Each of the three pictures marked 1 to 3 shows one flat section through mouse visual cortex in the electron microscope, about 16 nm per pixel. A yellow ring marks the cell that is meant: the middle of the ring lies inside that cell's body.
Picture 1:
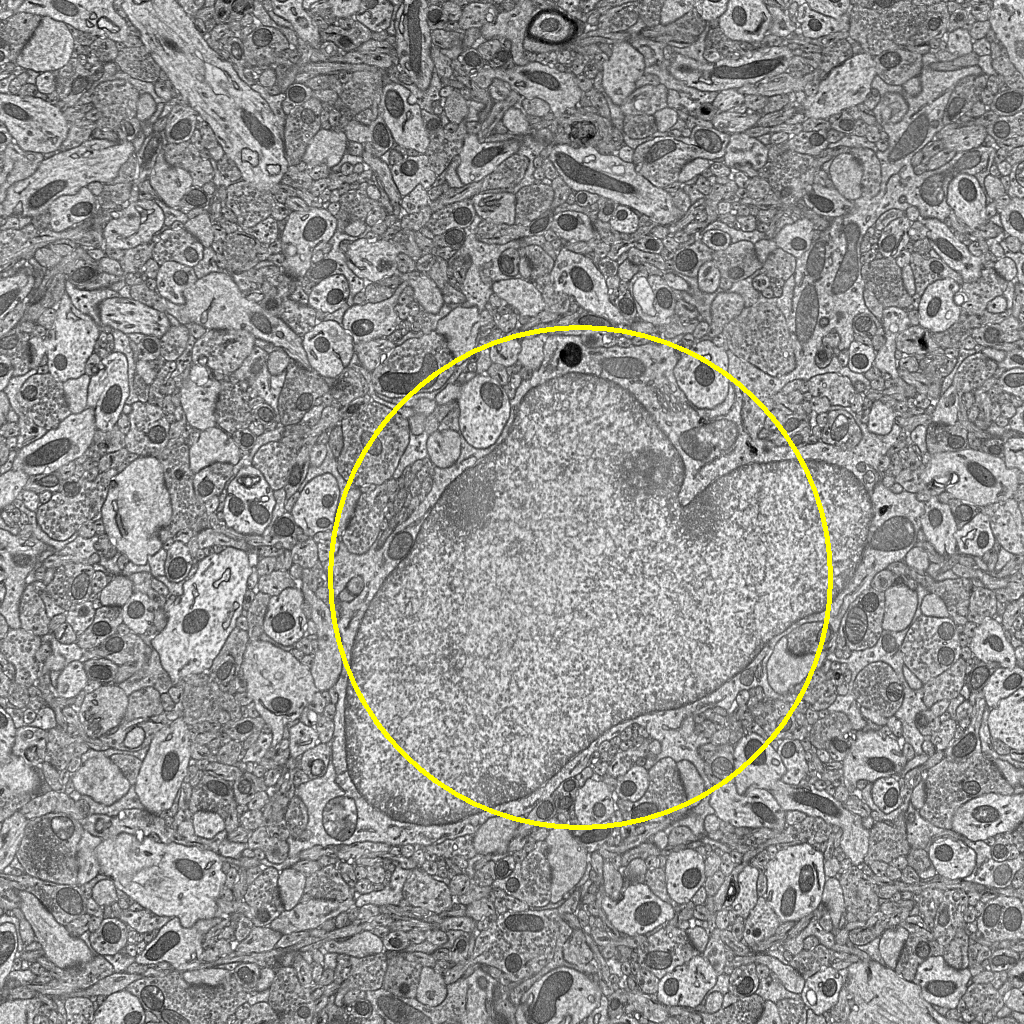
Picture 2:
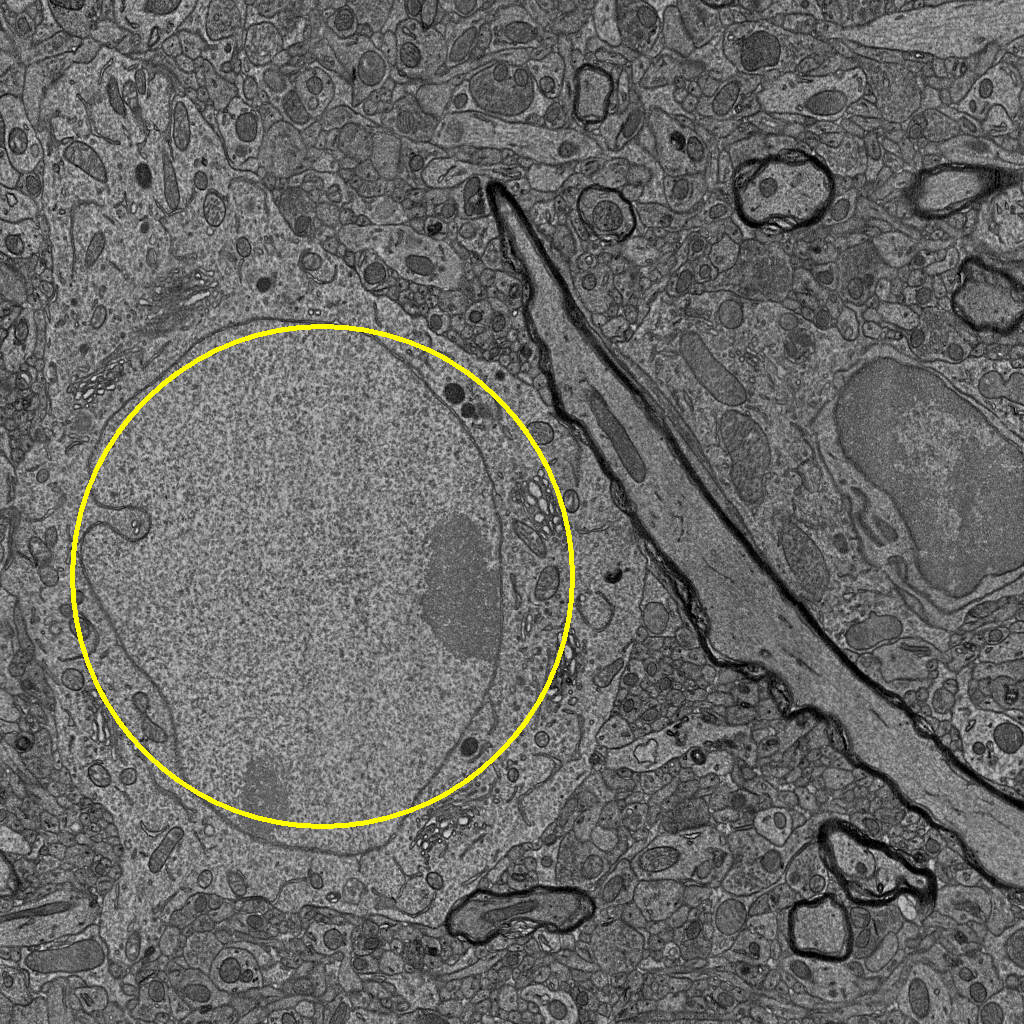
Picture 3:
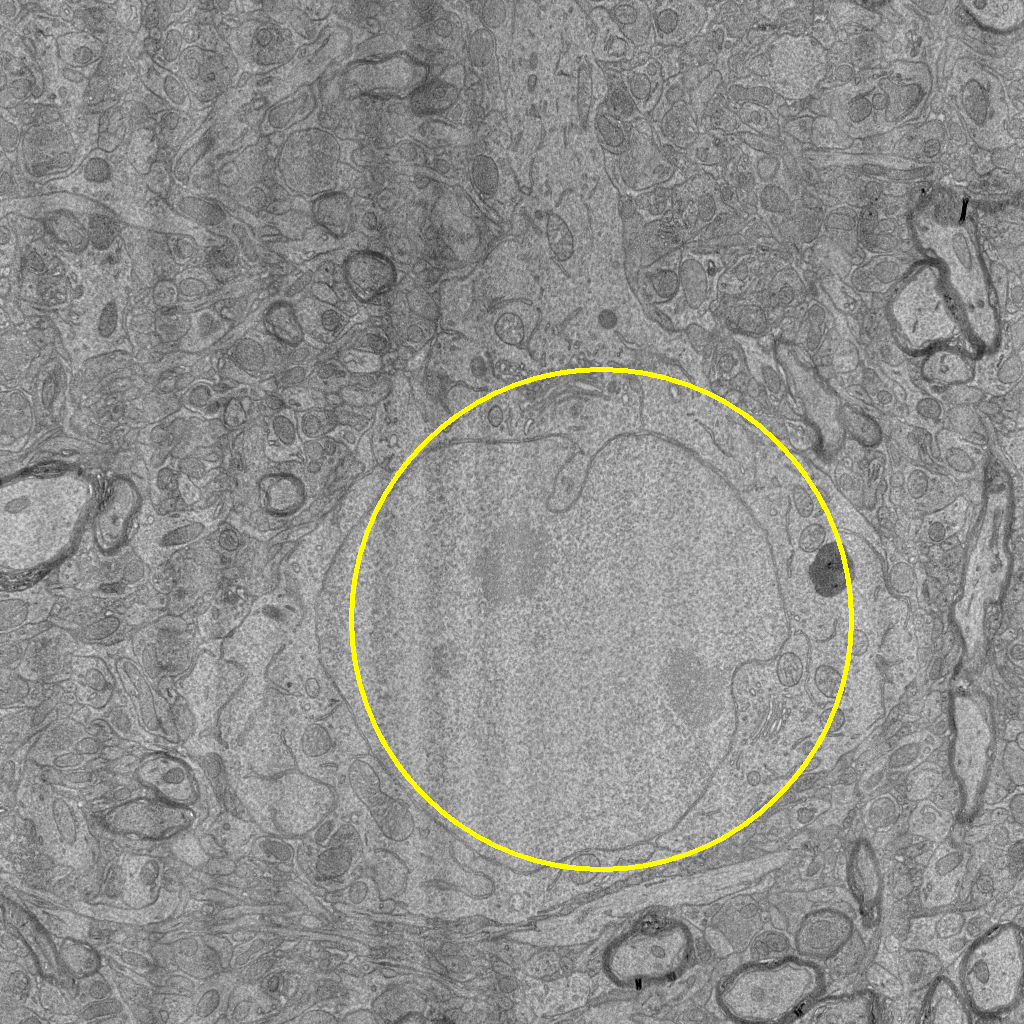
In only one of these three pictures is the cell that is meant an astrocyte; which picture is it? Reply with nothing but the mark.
1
